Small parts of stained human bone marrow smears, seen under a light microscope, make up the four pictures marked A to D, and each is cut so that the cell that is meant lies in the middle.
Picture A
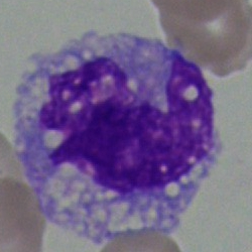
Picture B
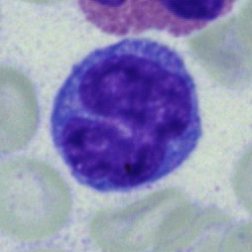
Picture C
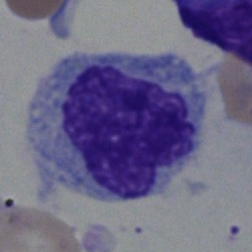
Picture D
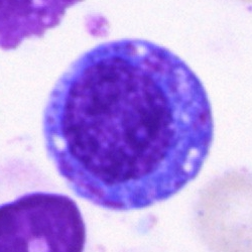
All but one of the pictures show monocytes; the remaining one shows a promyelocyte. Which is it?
D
